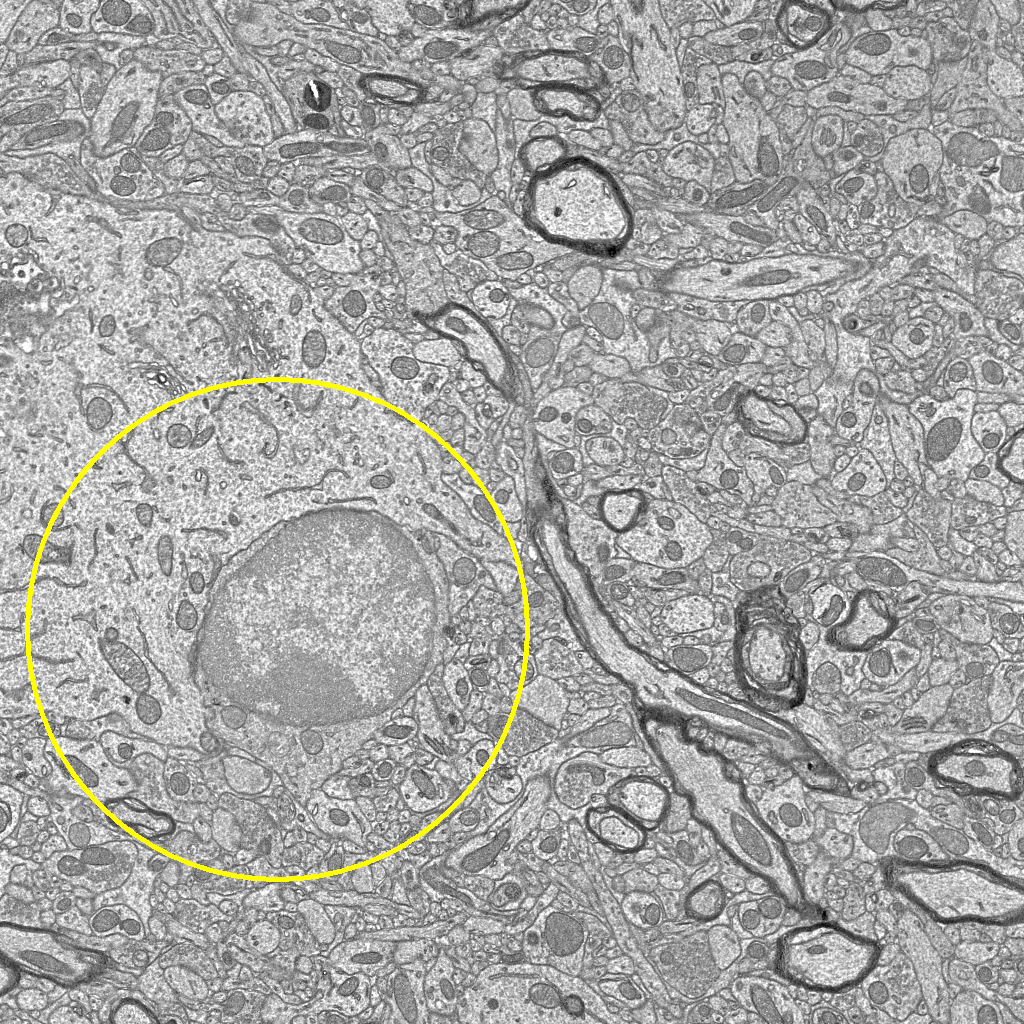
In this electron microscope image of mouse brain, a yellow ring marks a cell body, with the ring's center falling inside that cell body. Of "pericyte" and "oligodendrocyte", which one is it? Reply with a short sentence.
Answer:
It is an oligodendrocyte at the center of the ring.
